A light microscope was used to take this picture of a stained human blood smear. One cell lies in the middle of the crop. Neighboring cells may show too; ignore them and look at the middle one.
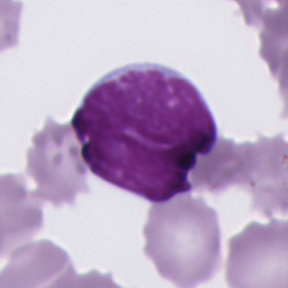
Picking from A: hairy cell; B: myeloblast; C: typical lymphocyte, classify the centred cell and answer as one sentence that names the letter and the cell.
Option B is accurate; the centrally placed cell is a myeloblast.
